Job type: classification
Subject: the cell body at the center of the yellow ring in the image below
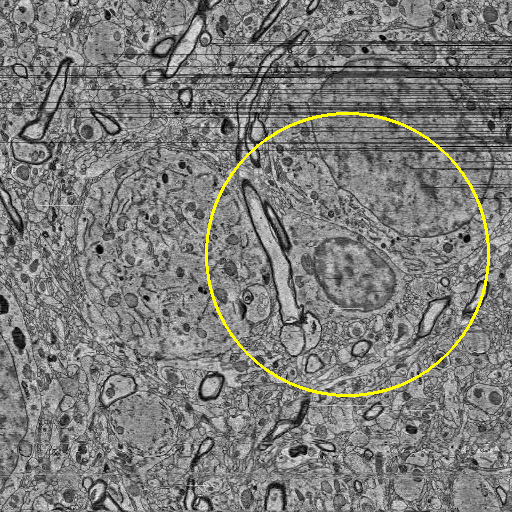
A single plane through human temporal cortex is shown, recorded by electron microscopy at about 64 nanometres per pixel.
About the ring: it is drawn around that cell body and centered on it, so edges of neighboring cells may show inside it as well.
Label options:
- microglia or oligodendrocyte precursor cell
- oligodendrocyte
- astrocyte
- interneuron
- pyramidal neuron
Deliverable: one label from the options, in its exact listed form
oligodendrocyte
